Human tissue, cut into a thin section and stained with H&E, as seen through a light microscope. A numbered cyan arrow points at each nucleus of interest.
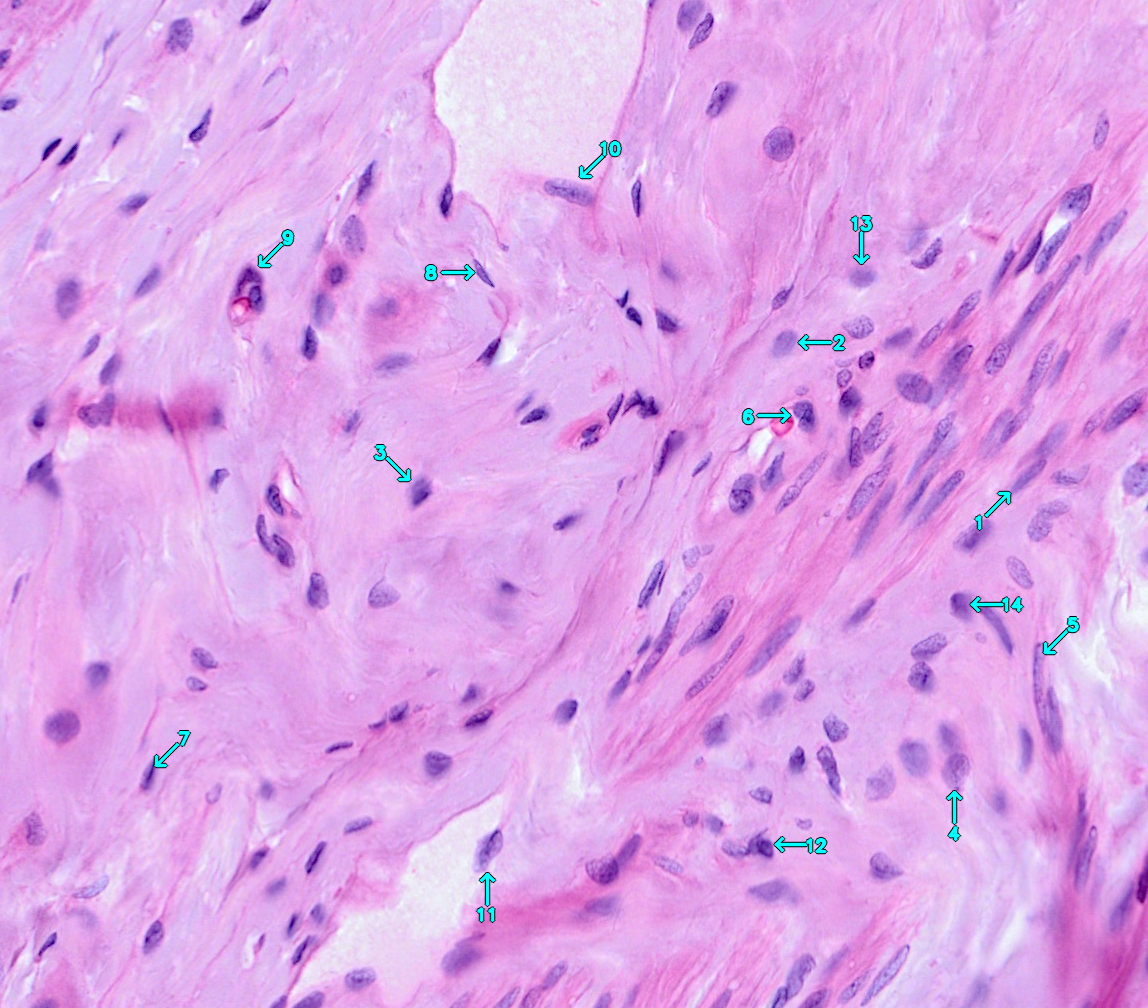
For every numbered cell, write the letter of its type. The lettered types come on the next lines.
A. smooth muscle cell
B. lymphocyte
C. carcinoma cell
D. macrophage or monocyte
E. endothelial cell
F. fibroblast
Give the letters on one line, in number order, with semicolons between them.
A; F; F; F; A; E; F; F; E; E; E; F; F; F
